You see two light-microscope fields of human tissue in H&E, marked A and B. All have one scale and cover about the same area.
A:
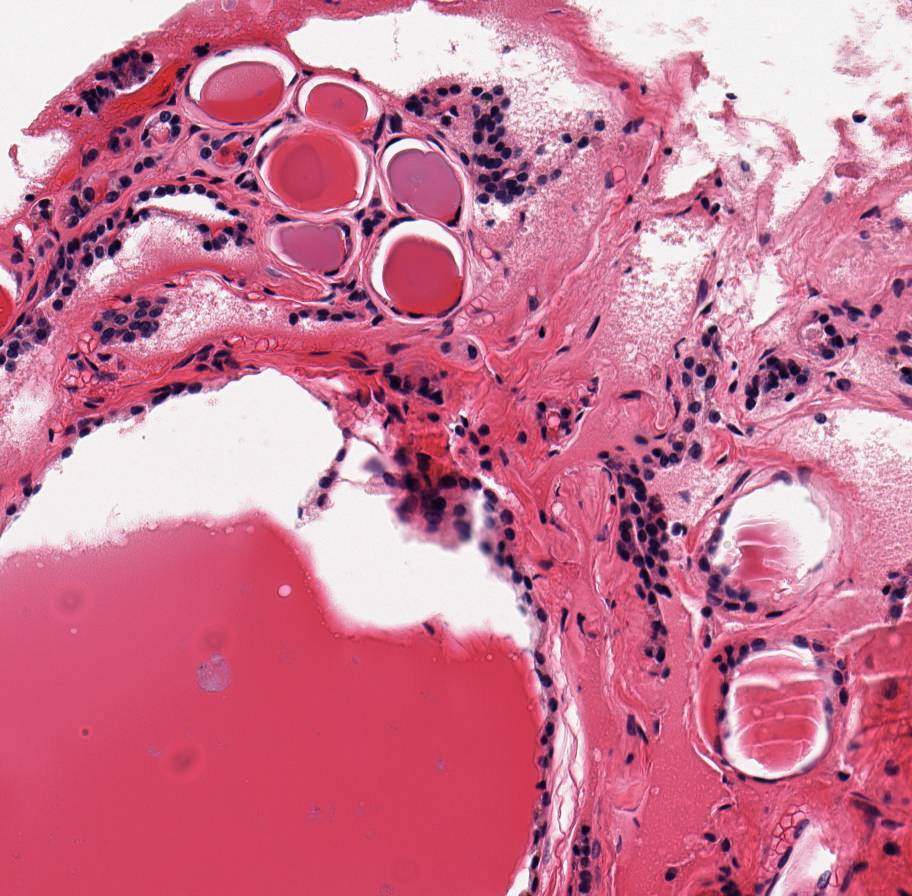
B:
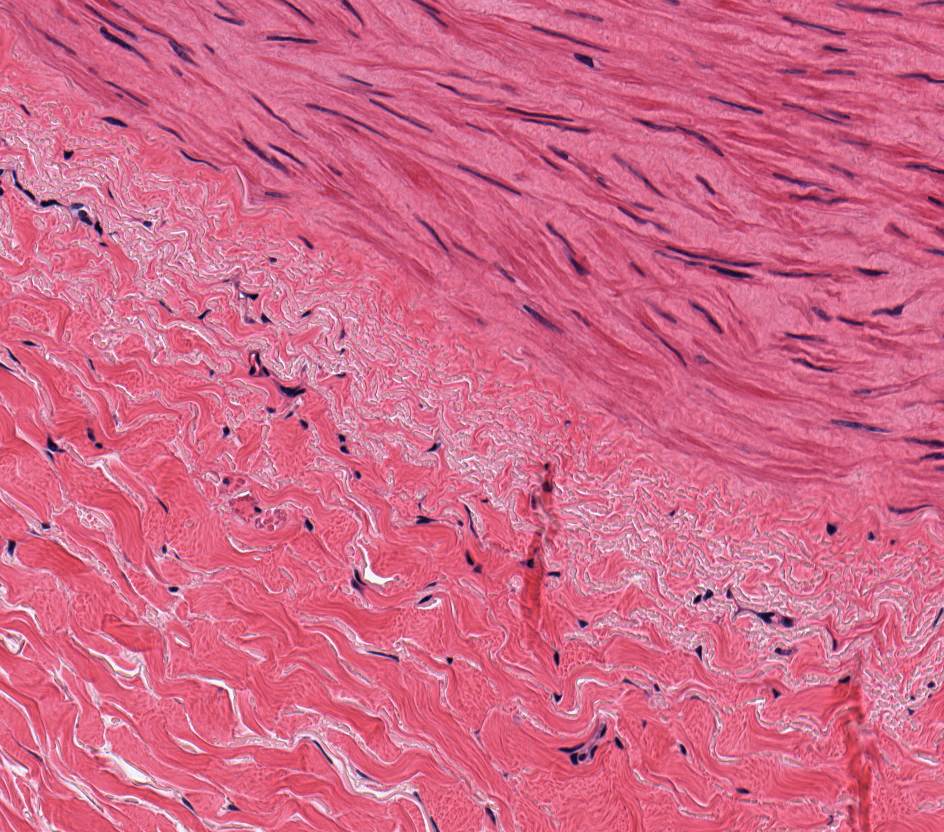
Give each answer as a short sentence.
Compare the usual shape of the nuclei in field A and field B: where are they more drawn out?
It is field B whose nuclei are the more elongated.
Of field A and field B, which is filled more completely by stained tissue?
Field B has less white space.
